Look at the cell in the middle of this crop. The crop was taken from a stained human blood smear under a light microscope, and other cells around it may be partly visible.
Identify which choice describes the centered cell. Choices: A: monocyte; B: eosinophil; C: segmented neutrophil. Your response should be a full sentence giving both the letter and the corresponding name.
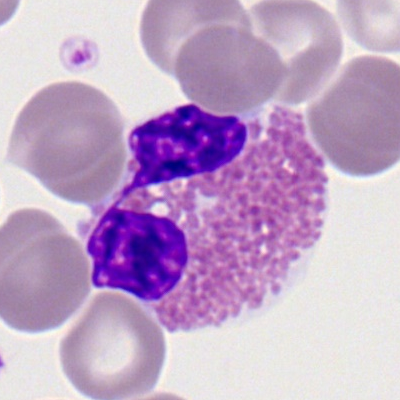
As the central cell is an eosinophil, option B is correct.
